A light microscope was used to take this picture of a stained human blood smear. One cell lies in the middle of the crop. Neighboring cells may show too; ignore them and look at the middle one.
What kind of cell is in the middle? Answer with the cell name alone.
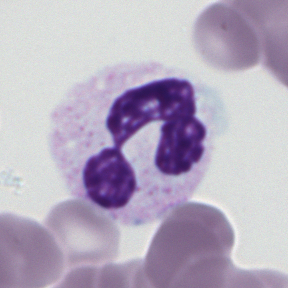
neutrophil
